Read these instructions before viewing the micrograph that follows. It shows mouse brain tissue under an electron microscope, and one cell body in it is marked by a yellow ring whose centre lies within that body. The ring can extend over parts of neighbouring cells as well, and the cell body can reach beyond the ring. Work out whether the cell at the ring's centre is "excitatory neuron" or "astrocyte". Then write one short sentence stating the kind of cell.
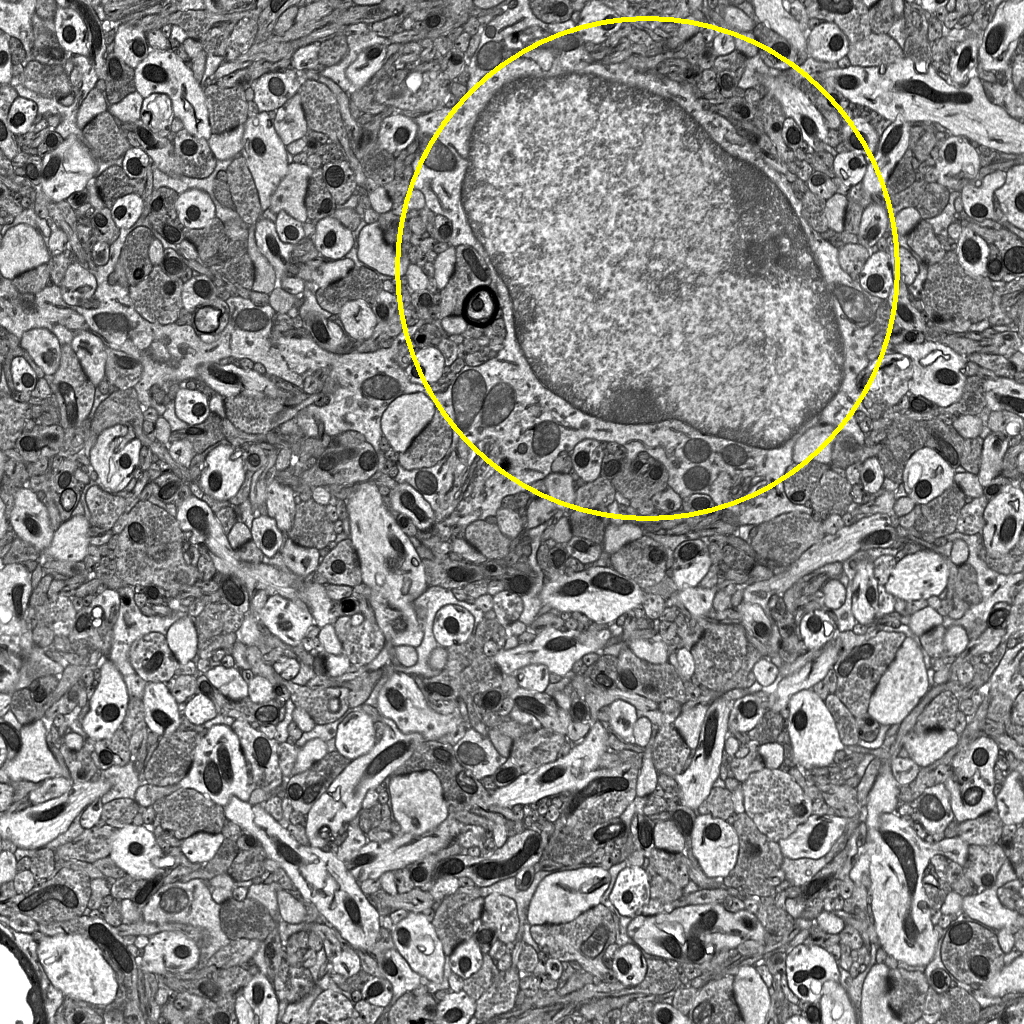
The cell at the ring's centre is an astrocyte.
